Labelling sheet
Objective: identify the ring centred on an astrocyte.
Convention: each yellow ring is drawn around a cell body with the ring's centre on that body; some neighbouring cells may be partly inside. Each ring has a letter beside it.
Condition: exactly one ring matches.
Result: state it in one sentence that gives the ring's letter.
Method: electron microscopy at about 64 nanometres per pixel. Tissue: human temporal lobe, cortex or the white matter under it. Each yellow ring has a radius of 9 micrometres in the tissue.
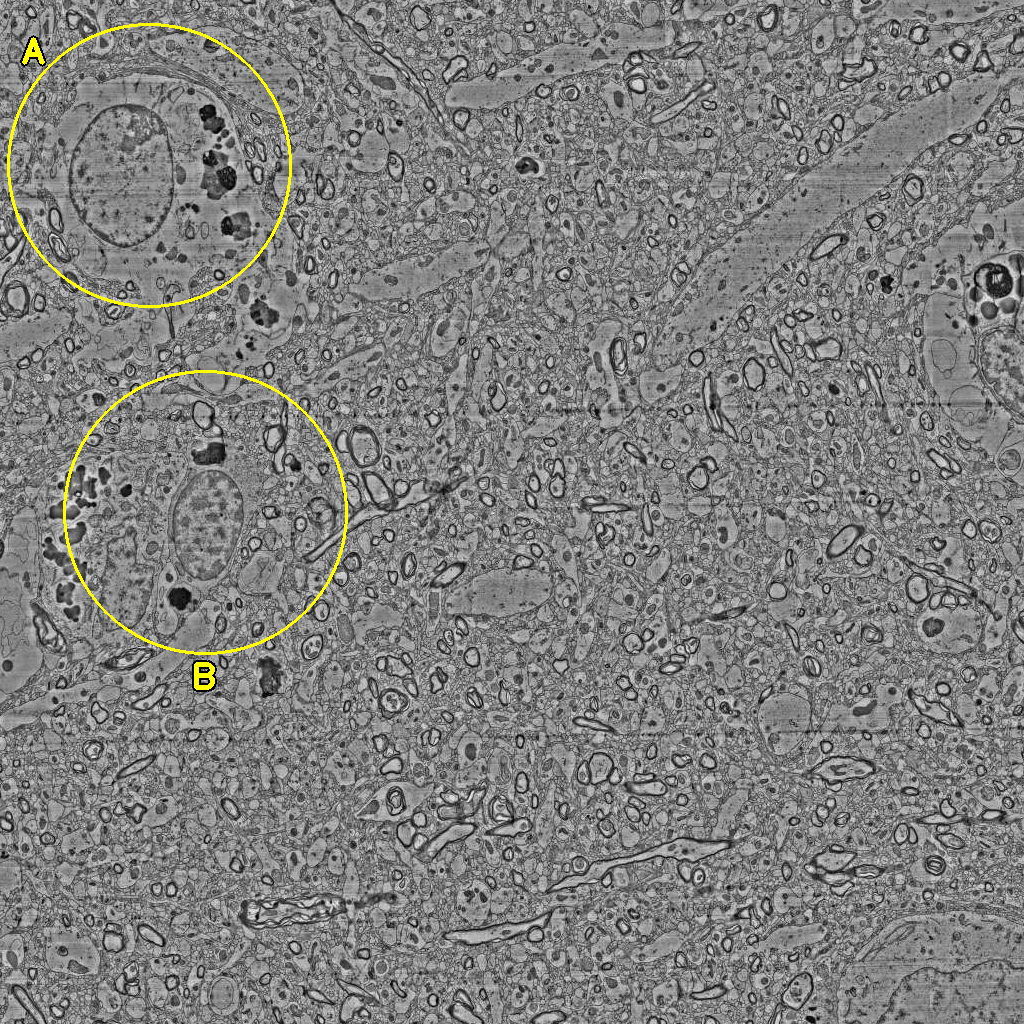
It lies at the centre of ring A.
